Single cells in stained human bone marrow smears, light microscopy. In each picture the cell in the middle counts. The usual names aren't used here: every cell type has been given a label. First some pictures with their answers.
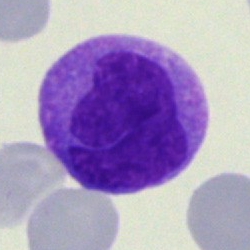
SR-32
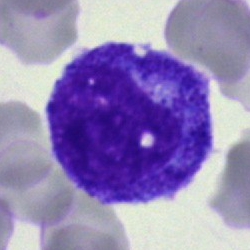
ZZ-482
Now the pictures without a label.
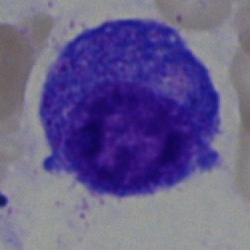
ZZ-482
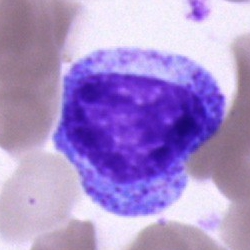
ZZ-482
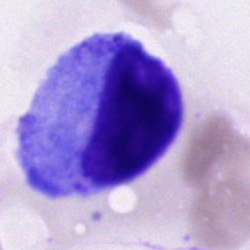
ZZ-482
